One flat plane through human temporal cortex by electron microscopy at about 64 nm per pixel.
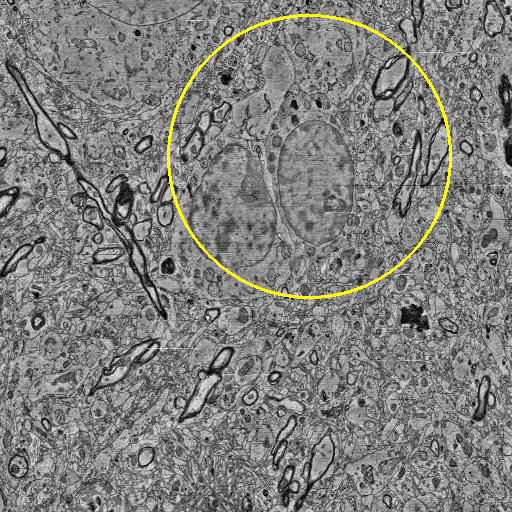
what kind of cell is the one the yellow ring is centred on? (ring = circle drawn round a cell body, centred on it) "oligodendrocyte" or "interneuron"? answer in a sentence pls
The ring is drawn around an oligodendrocyte.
